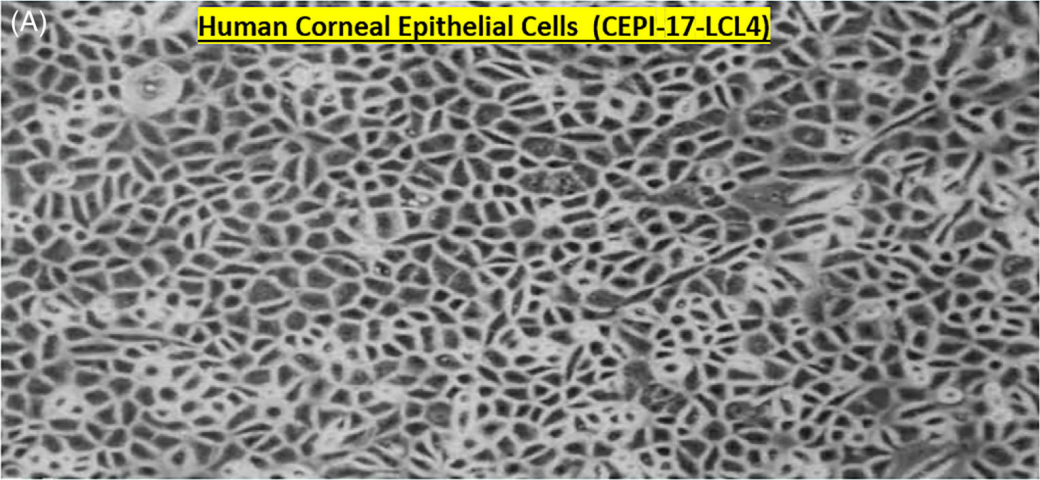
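The cells are small and polygonal, packed edge to edge in a cobblestone-like sheet, each outlined by a bright border. A few cells scattered through the sheet are larger and rounded with bright halos, and some are elongated and spindle-shaped. No gaps between cells are seen across most of the field.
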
